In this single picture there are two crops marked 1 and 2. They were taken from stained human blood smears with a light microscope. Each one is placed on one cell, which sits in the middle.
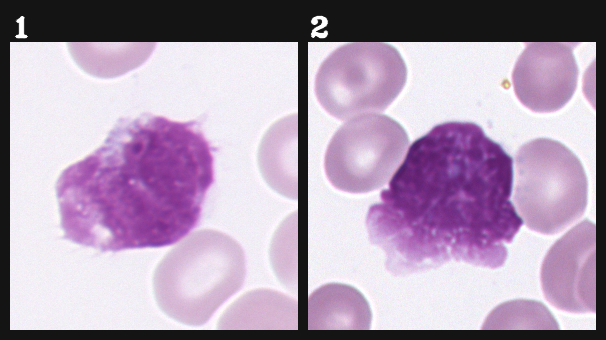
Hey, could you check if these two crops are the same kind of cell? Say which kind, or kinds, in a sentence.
Yes, in the middle of both crops, smudge cells are shown.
